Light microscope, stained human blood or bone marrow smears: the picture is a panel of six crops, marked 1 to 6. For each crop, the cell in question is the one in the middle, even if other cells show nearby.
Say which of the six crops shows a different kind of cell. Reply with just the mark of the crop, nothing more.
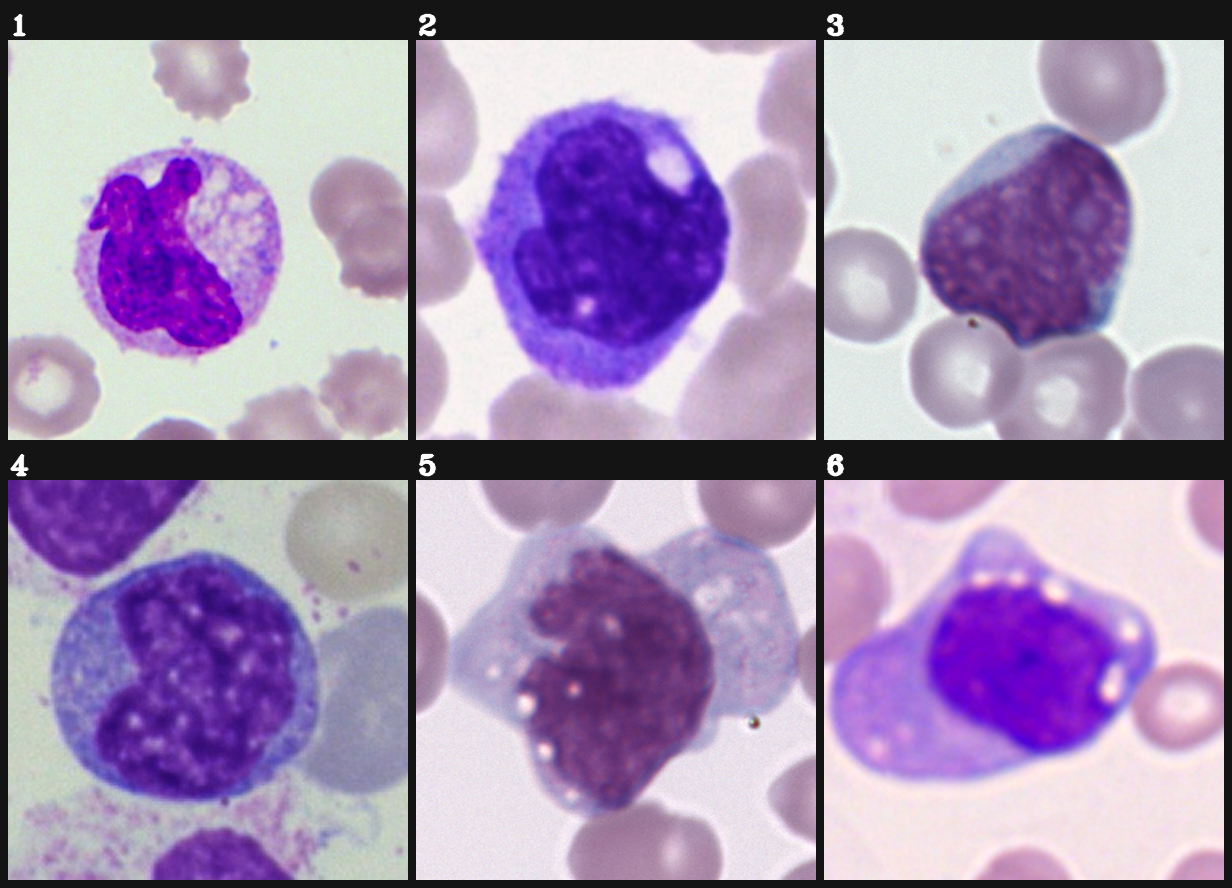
3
